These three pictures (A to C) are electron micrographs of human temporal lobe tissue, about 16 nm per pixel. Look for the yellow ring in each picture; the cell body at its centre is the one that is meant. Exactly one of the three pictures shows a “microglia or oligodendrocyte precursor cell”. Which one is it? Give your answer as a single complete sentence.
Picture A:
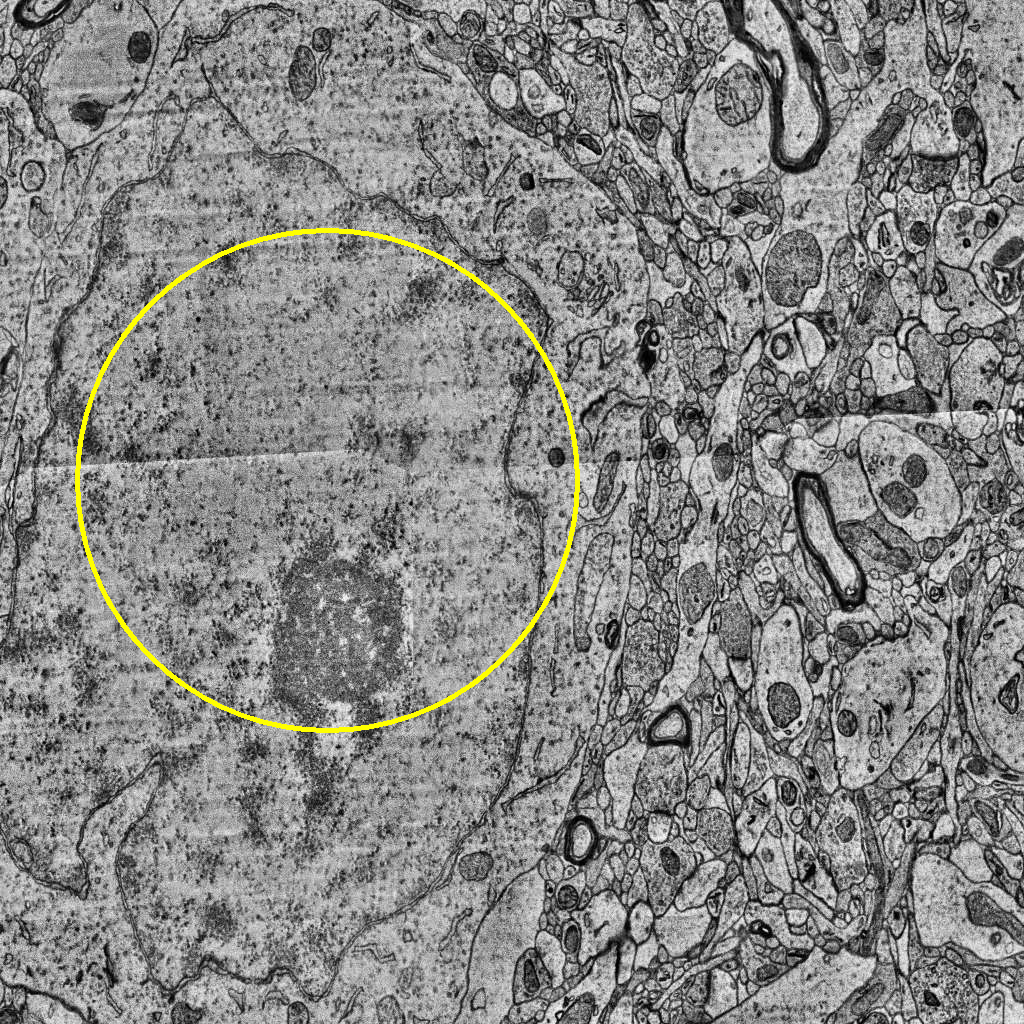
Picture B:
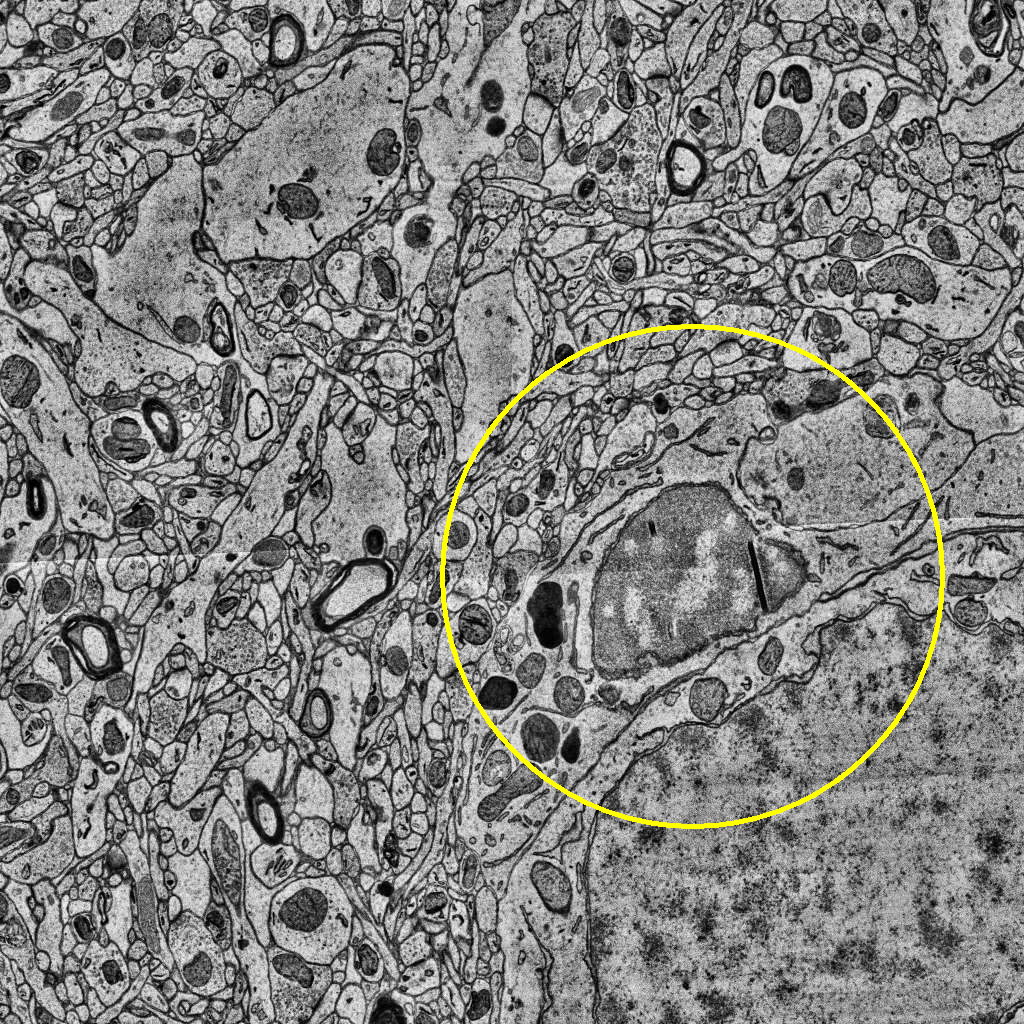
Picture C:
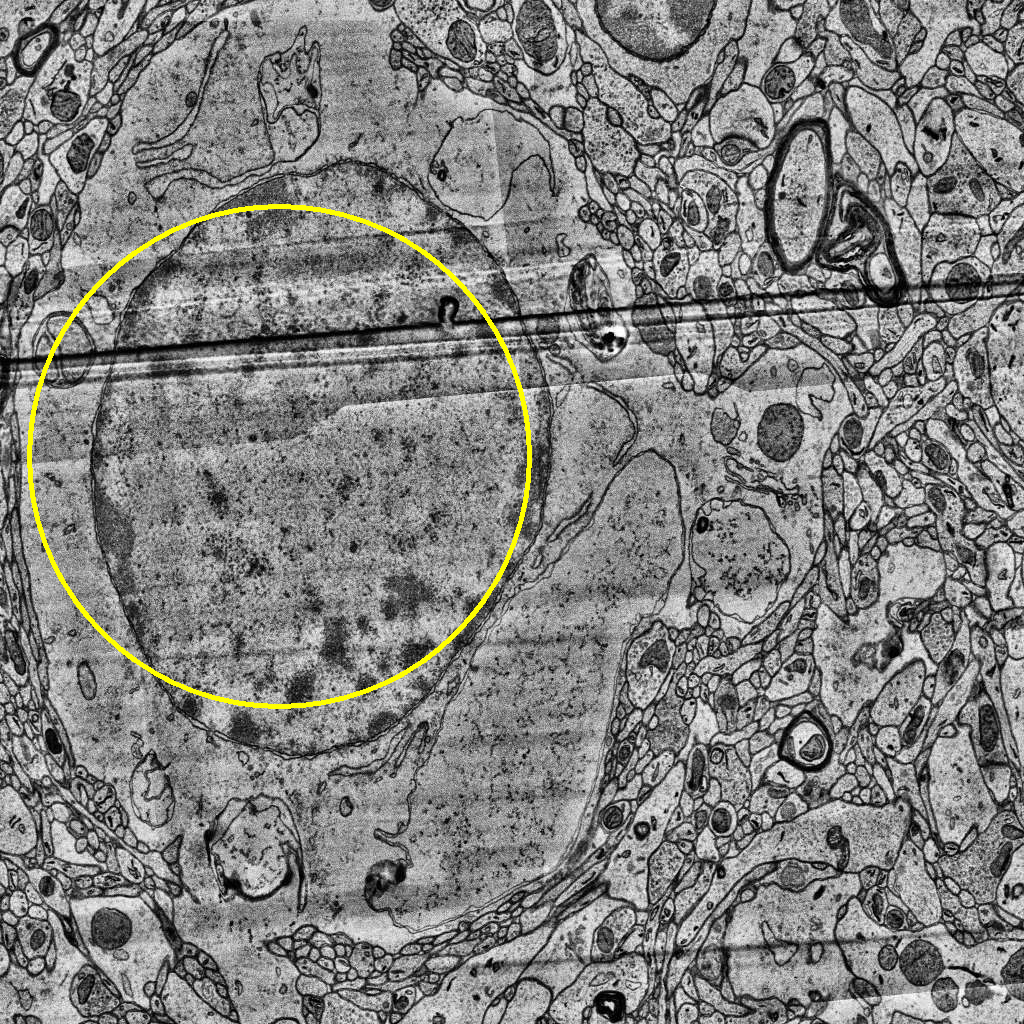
The cell in picture B is the “microglia or oligodendrocyte precursor cell”.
